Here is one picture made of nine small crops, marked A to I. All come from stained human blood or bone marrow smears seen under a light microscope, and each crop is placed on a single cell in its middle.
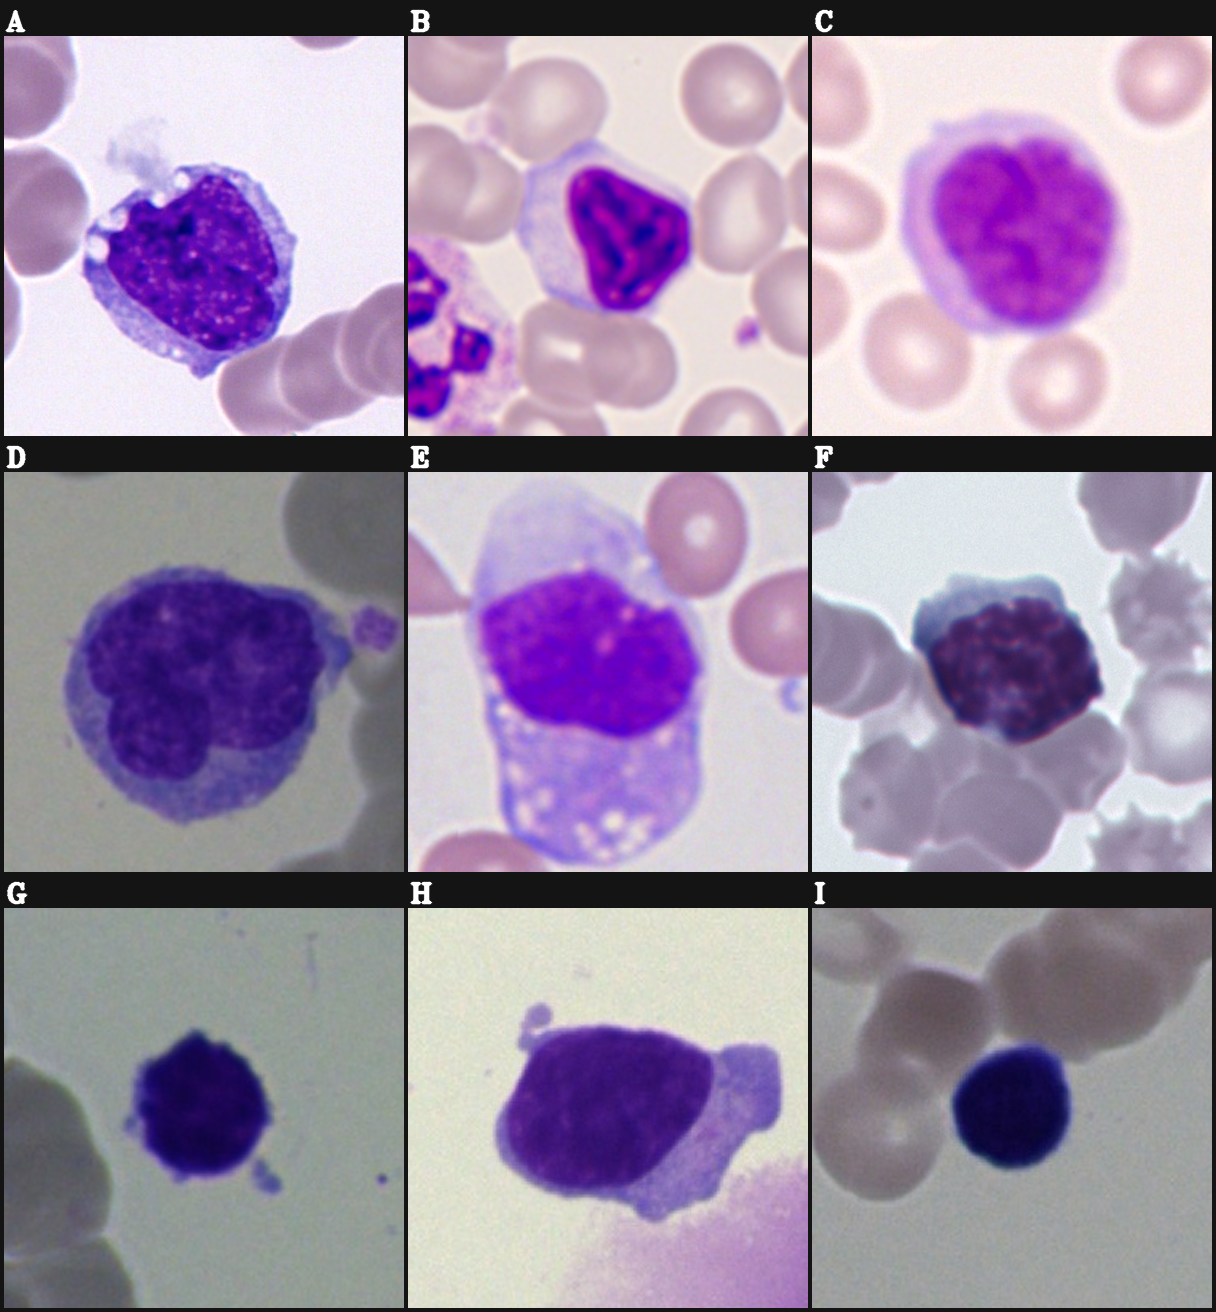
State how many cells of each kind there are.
lymphocyte: 5
monocyte: 4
